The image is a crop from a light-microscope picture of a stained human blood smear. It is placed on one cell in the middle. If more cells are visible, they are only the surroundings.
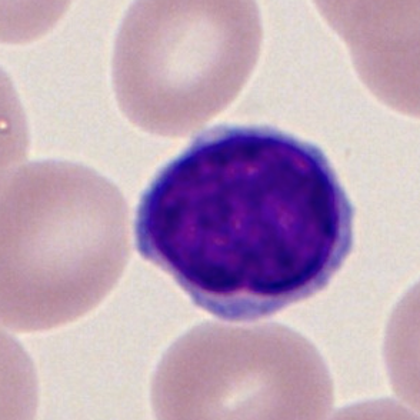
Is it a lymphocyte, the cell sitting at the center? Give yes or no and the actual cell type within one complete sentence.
Yes, the cell found in the middle is a lymphocyte.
